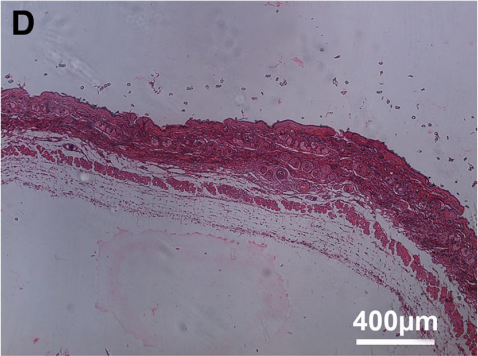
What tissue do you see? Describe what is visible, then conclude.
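A dark pink stratified surface layer runs along the top of the section. Looser, paler connective tissue lies beneath the surface layer. The layers form a continuous band with no foreign mass inside. On this evidence: normal skin.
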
